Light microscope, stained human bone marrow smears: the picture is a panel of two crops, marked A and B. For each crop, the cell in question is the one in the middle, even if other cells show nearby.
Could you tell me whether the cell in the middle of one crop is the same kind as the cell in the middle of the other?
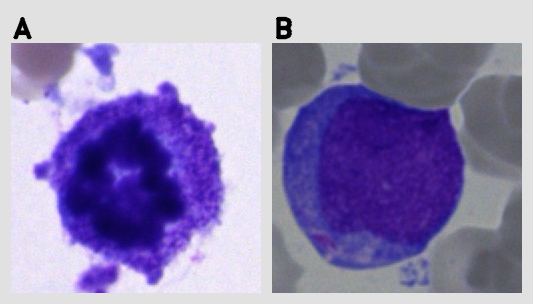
no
